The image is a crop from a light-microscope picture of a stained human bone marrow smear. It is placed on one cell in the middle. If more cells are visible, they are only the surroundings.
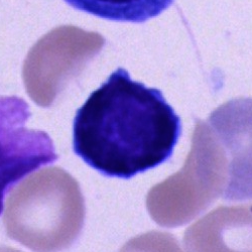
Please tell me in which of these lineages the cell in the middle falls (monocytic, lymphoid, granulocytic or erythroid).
lymphoid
